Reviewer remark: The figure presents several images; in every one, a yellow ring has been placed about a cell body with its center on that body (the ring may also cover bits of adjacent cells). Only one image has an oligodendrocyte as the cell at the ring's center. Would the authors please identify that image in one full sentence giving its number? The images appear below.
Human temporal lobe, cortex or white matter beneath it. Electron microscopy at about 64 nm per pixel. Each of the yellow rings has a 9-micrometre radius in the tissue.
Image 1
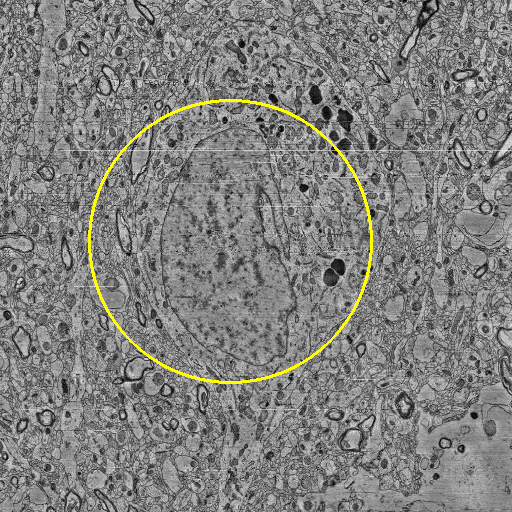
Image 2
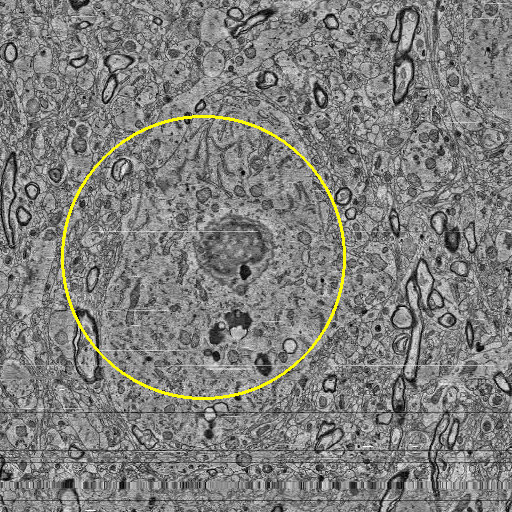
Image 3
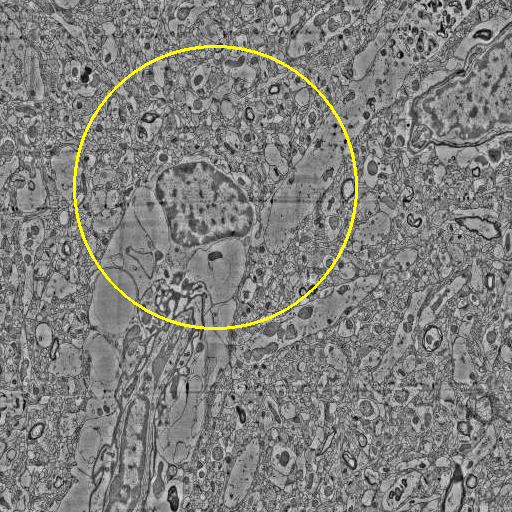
The ring's central cell in image 2 is the one the question describes.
